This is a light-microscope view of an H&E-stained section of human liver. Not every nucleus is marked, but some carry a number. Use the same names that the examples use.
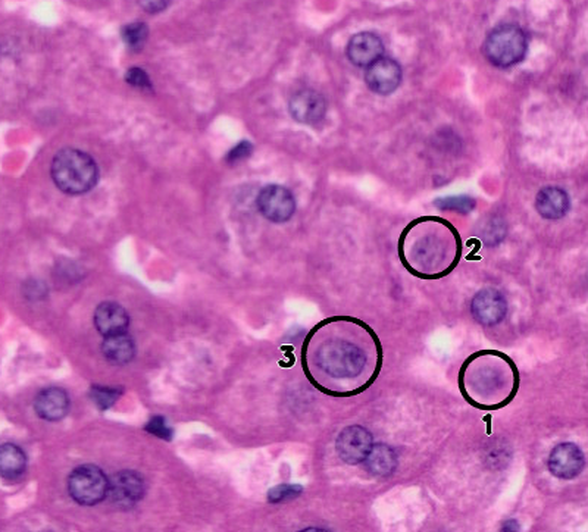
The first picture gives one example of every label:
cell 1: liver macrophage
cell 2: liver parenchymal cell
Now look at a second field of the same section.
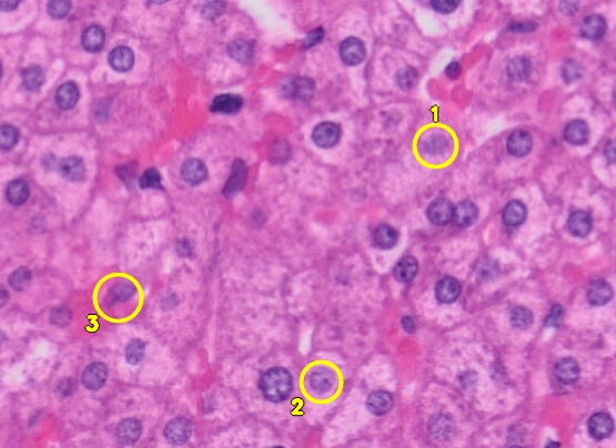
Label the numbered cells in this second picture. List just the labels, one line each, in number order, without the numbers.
liver parenchymal cell
liver parenchymal cell
liver macrophage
